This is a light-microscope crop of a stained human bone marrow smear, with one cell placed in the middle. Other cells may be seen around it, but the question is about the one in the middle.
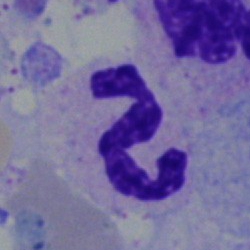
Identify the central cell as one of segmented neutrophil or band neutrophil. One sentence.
In the crop, the cell of interest at the centre is a segmented neutrophil.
